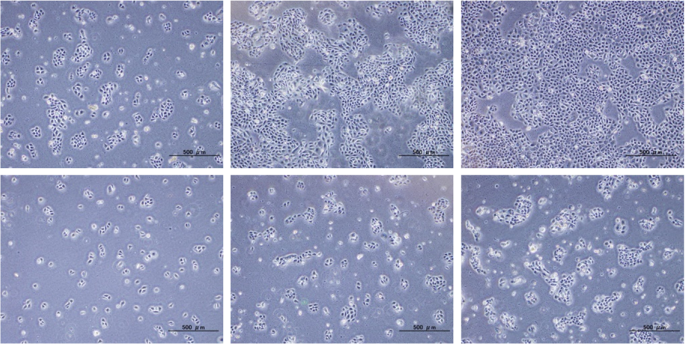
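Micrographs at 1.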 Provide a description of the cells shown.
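Cultured epithelial cells on a plastic surface, seen unstained in a grid of six fields arranged in two rows of three. In the upper row they start as scattered small clusters, are crowded into broad cobblestone sheets in the middle field, and in the last field nearly cover the surface, with only small gaps left. In the lower row the cells stay sparse: the first two fields show mostly single rounded cells and small groups. The last field shows small separate colonies, with much open surface between them.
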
